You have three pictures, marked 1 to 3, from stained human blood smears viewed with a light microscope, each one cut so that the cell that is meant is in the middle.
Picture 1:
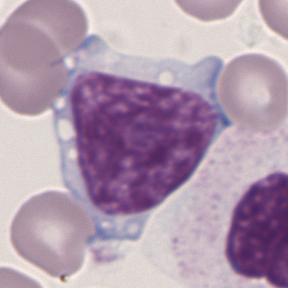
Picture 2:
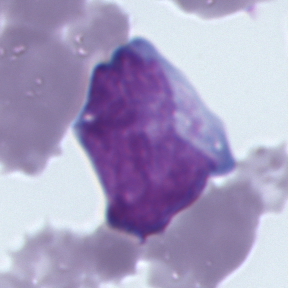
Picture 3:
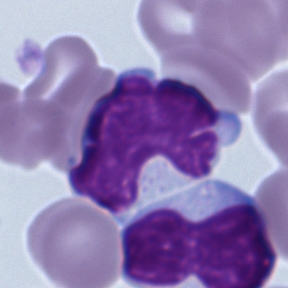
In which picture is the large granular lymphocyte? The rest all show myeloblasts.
3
